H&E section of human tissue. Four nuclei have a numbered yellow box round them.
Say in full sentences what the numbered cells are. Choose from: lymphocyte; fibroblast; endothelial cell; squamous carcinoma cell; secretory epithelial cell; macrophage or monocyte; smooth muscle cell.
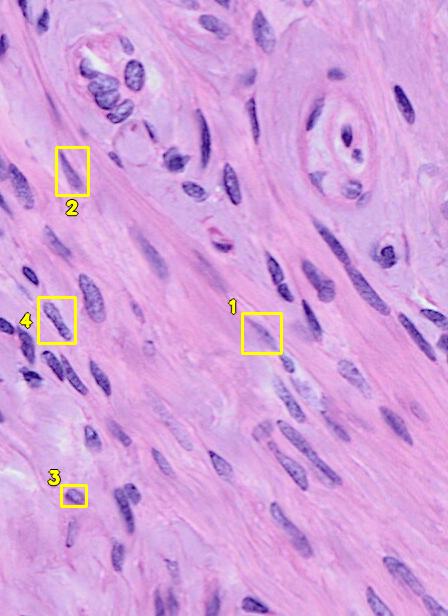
Cell 1 is a fibroblast, cell 2 is a fibroblast, cell 3 is a smooth muscle cell and cell 4 is a fibroblast.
